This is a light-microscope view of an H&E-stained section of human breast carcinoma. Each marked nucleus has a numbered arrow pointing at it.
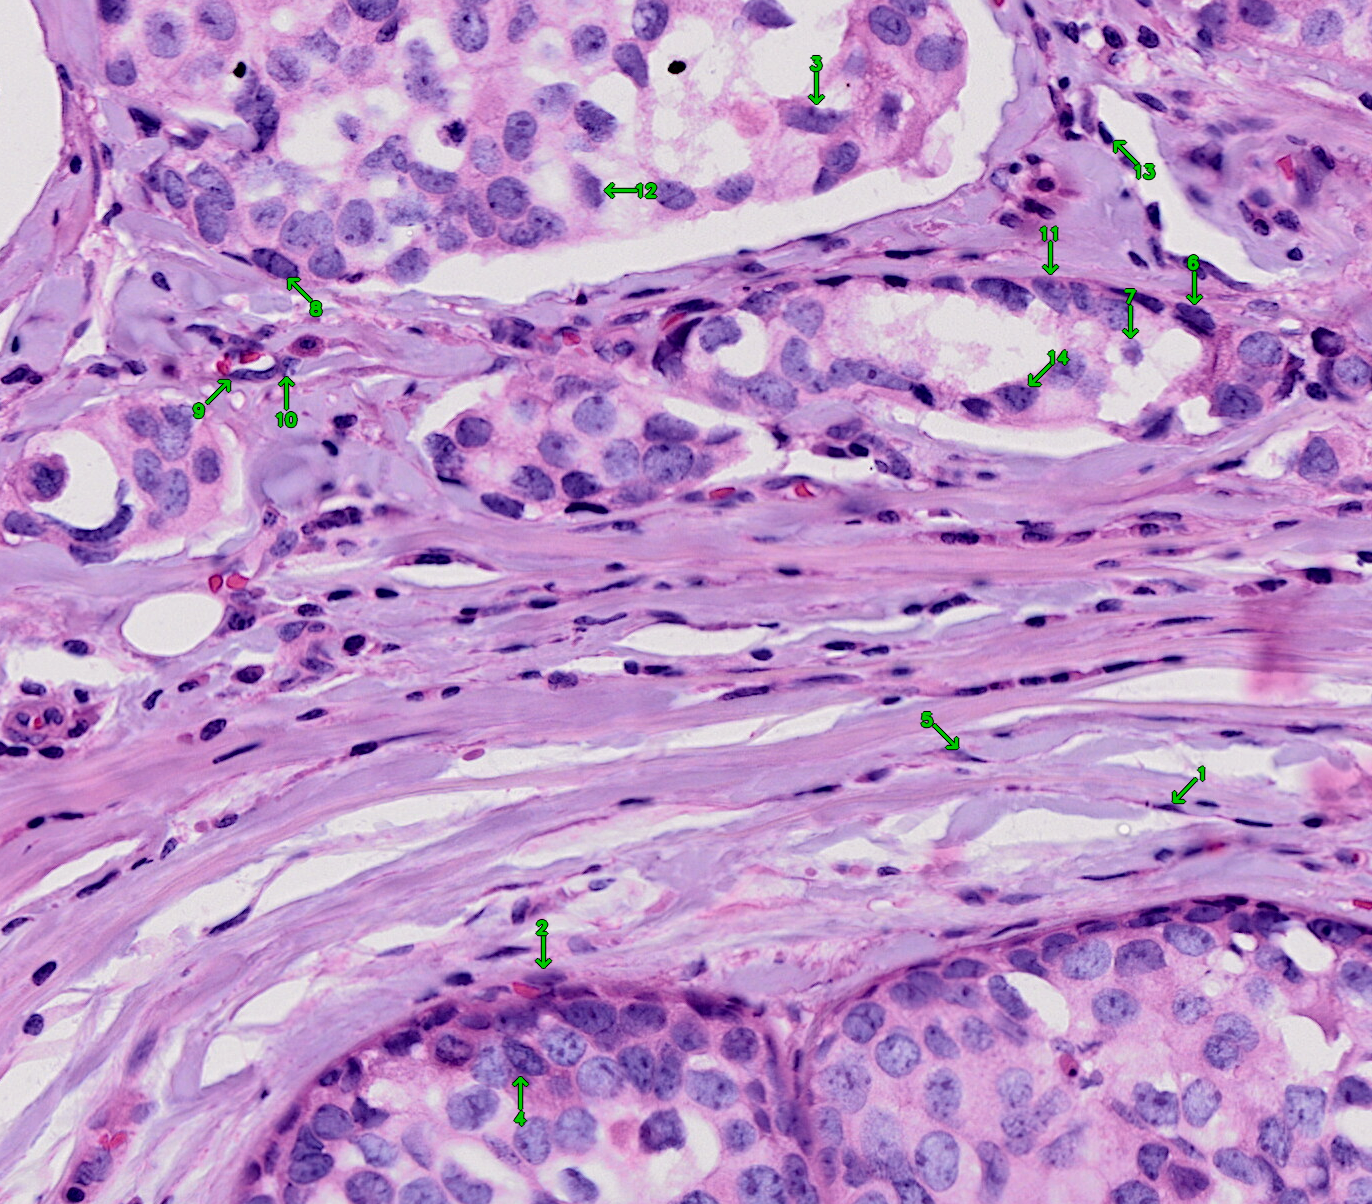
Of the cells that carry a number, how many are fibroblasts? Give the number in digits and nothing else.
2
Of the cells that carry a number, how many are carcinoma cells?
8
